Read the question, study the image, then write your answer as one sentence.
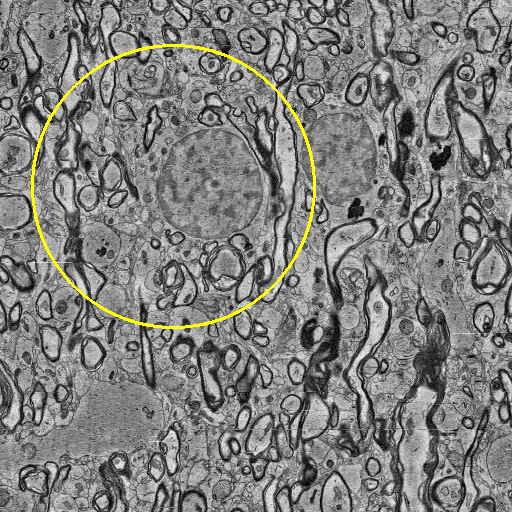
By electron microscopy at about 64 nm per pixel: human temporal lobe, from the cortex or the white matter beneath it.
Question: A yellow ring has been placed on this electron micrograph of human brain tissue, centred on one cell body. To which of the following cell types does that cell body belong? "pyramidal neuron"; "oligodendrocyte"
That cell body belongs to an oligodendrocyte.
